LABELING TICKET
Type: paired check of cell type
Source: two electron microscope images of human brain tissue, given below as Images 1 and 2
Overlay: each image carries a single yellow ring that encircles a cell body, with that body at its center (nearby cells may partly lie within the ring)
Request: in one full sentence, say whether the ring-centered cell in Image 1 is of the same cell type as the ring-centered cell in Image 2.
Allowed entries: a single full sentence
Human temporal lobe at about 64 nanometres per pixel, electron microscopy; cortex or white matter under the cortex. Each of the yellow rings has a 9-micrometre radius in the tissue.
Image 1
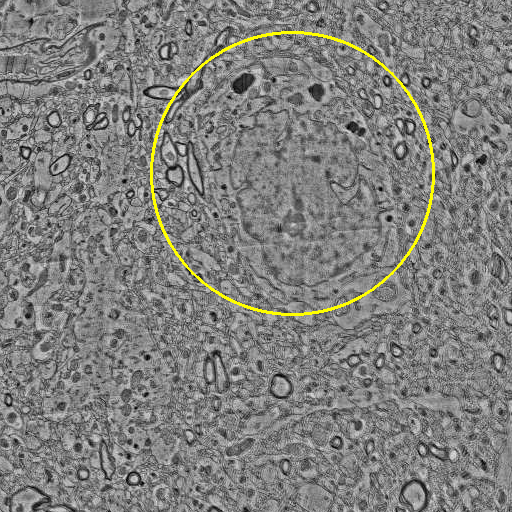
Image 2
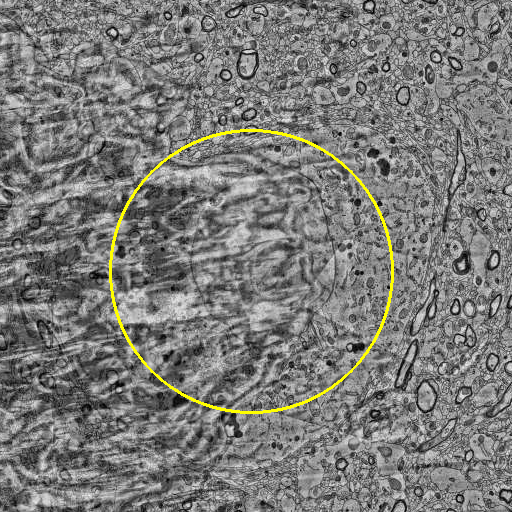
No, the cells centered in the rings of Image 1 and Image 2 are of two types.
